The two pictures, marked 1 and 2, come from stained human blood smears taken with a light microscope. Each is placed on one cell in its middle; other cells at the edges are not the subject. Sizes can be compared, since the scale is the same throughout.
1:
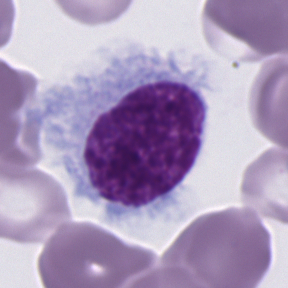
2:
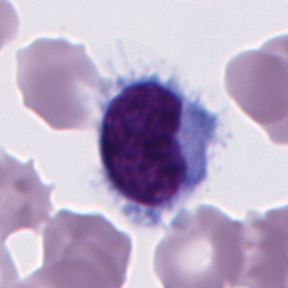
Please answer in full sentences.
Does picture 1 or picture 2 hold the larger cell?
Larger is the cell in picture 1, at roughly 1.5 times the area of the other.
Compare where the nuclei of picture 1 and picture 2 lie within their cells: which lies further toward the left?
Seen within its cell, the nucleus in picture 2 lies further toward the left.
